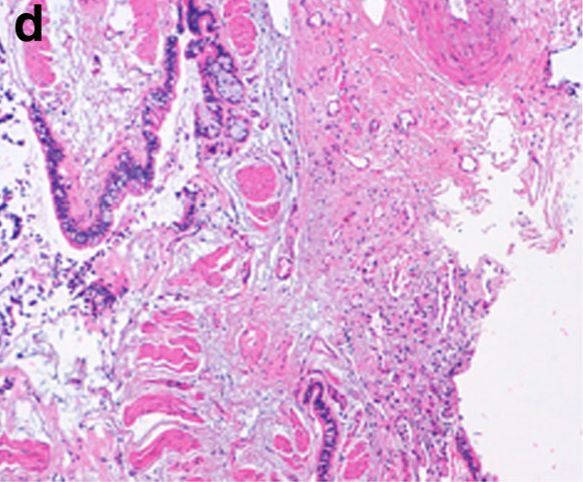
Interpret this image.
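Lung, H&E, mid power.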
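Walls of larger airways are lined by a folded columnar epithelium in which many pale, mucus-filled goblet cells sit among the dark-nucleated lining cells. Beneath the lining lie large bundles of pink smooth muscle, surrounded by loose to dense pale pink fibrous tissue with scattered small vessels. At the right the tissue is more cellular and fibrotic, with a thick-walled vessel at the top.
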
